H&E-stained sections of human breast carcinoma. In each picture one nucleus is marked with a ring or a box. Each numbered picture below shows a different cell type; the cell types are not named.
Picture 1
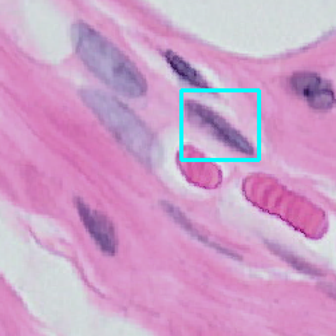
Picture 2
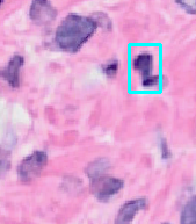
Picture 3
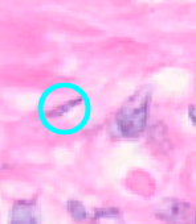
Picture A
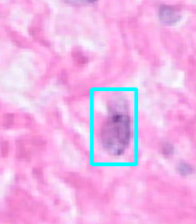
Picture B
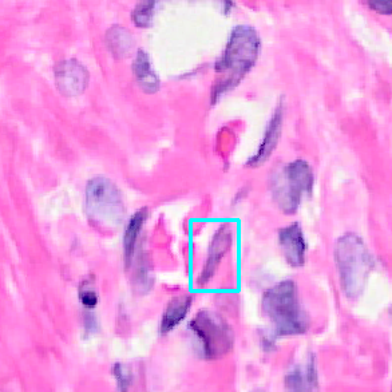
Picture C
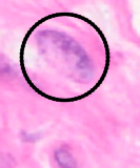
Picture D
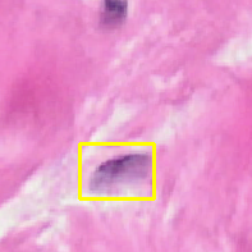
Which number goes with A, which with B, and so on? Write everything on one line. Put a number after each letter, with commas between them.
A 3, B 1, C 3, D 3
